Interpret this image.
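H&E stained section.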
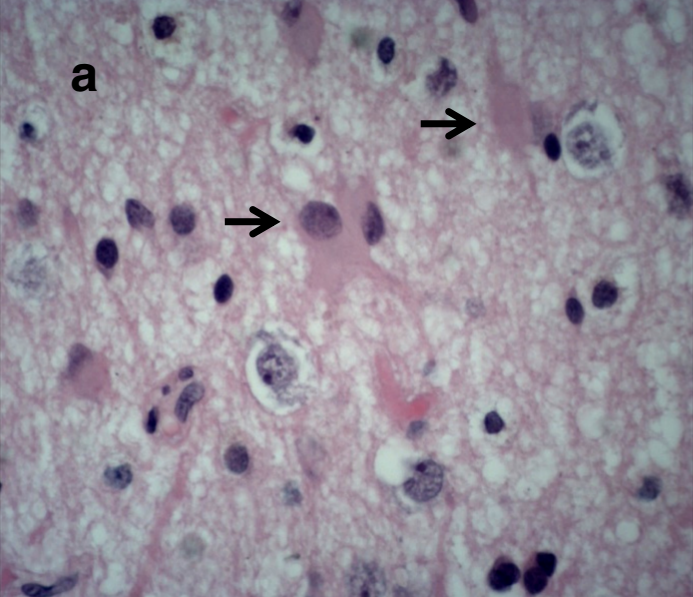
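This is brain tissue in which large reactive astrocytes stand out by their abundant glassy pink cytoplasm. Their nuclei are pushed to the edge of the cell body, and the cytoplasm tapers off into short processes. The background tissue is finely vacuolated and pale pink. Scattered among these cells are larger cells with round, pale nuclei sitting in clear halos, together with many small dark round nuclei.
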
